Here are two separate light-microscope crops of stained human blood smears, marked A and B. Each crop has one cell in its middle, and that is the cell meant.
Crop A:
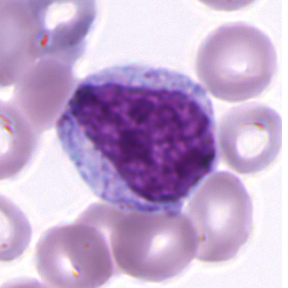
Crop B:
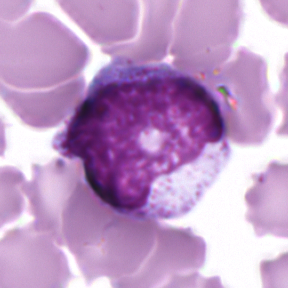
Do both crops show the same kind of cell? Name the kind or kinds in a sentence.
No, a myelocyte lies at the centre of crop A, and a metamyelocyte lies at the centre of crop B.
